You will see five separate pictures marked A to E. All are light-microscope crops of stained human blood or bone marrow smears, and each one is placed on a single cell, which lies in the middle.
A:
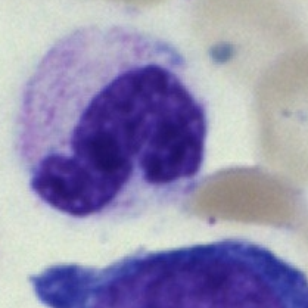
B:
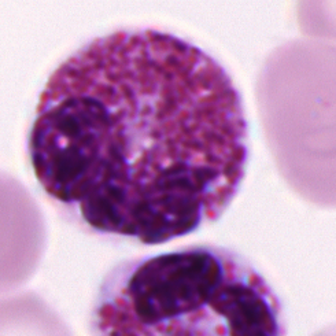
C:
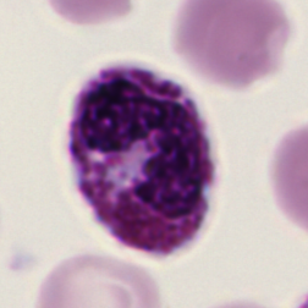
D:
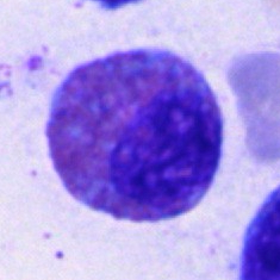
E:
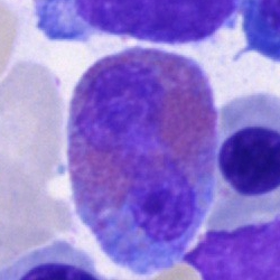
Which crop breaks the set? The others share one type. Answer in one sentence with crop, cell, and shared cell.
The cells centred in the other crops are all eosinophils, but crop A is a band neutrophil.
